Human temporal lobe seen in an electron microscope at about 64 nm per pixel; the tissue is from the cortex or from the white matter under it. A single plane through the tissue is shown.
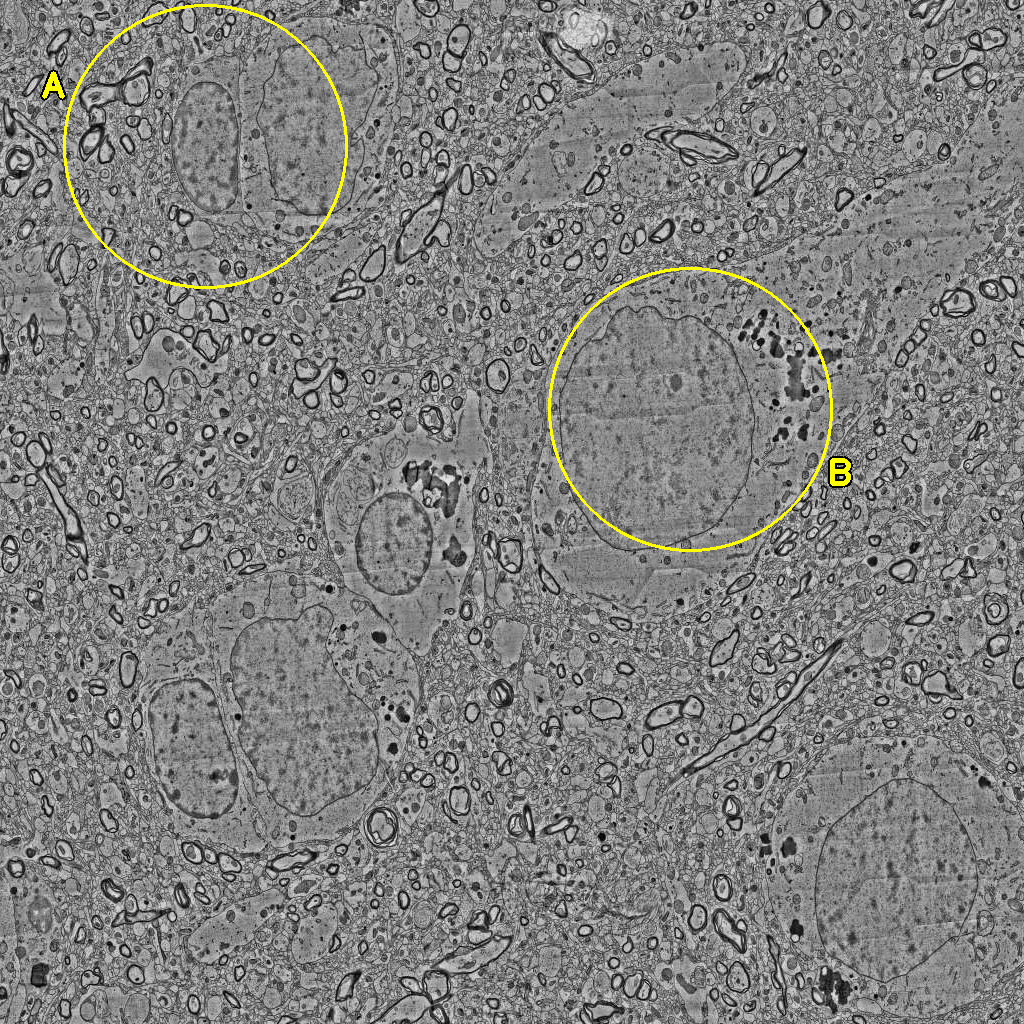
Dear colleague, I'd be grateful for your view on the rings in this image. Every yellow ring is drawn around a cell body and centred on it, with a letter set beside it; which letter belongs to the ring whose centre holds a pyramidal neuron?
B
